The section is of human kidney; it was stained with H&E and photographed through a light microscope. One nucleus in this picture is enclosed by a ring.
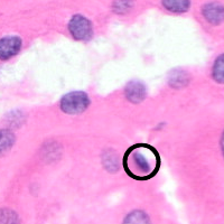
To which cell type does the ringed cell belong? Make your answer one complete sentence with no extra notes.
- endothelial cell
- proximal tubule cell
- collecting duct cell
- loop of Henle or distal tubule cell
Within the stained tissue, the ringed cell is an endothelial cell.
